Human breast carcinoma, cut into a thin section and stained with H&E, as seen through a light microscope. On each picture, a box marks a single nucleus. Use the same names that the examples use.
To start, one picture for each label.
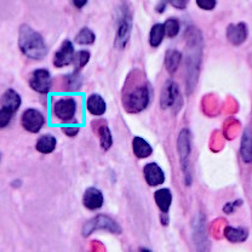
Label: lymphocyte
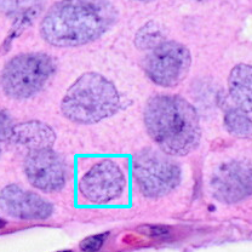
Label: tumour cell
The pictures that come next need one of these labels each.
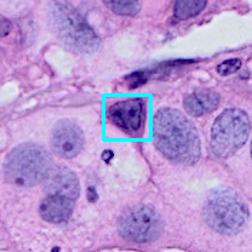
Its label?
tumour cell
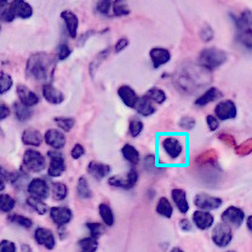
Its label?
lymphocyte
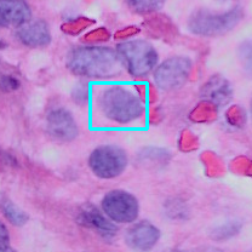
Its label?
tumour cell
